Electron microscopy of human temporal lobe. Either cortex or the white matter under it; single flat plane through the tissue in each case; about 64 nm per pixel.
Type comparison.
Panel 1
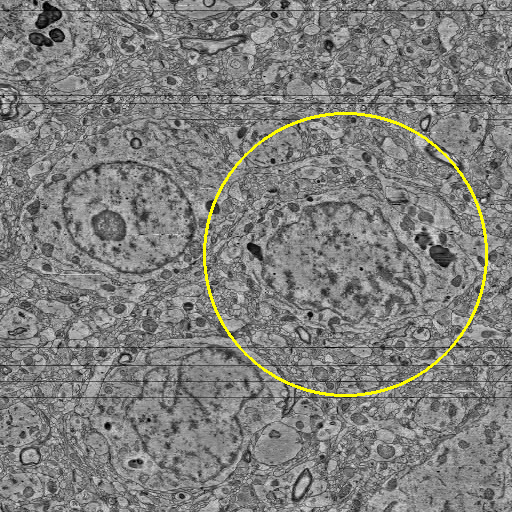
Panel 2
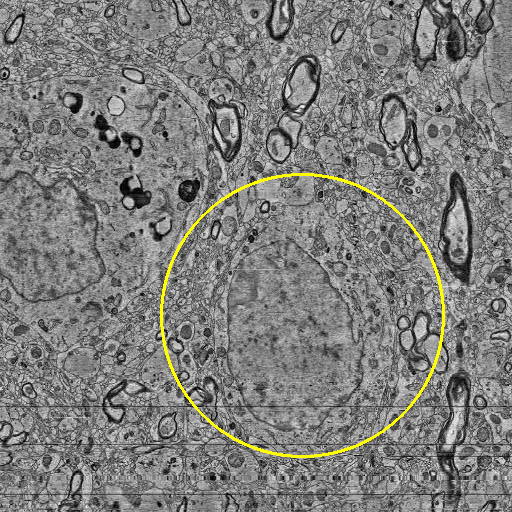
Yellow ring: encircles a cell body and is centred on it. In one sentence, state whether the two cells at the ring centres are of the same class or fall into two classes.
In these panels, the two cells at the ring centres are of the same class.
